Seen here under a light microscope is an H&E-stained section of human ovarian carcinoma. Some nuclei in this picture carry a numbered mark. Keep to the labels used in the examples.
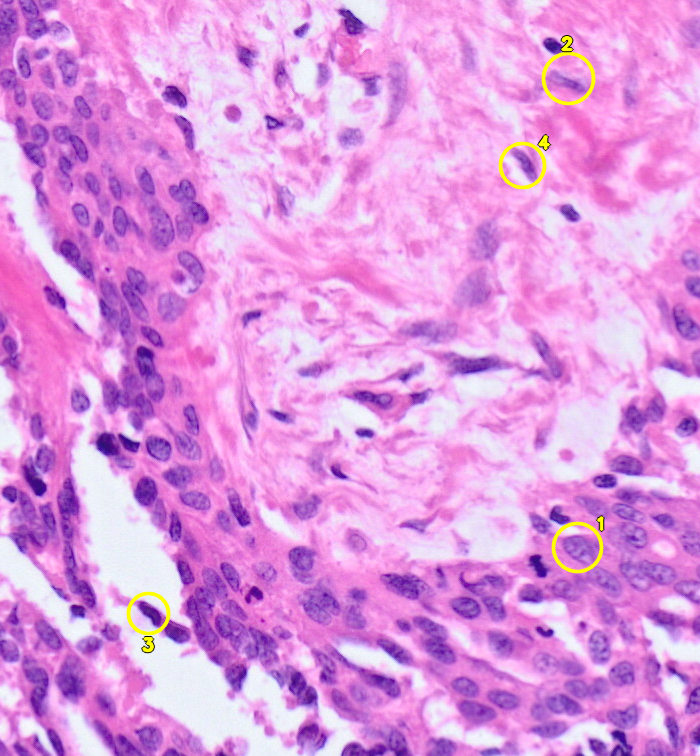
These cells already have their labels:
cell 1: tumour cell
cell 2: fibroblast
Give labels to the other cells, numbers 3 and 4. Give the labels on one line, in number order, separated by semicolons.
tumour cell; fibroblast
